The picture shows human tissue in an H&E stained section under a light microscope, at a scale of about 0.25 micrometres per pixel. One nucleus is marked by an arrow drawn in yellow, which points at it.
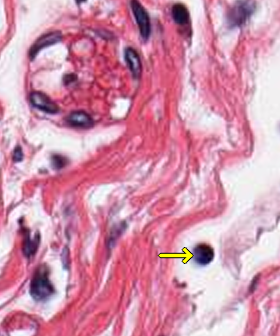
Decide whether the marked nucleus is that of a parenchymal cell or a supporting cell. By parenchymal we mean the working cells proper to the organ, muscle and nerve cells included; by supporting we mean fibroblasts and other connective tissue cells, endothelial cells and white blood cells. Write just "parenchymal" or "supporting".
supporting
